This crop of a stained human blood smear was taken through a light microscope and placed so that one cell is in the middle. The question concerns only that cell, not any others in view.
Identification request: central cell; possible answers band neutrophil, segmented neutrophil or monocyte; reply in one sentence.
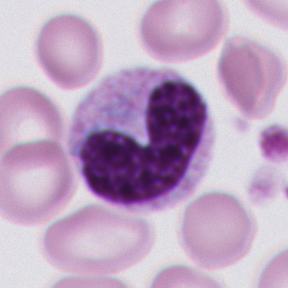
The cell of interest, located centrally, is a band neutrophil.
